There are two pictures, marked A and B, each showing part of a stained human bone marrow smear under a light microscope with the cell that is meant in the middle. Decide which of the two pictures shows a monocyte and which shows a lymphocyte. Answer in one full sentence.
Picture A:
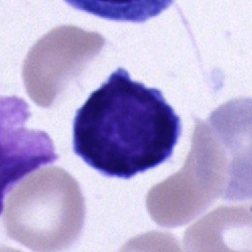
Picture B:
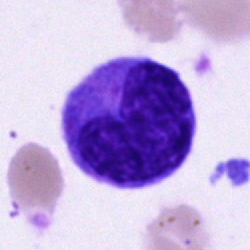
Picture A shows a lymphocyte and picture B shows a monocyte.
